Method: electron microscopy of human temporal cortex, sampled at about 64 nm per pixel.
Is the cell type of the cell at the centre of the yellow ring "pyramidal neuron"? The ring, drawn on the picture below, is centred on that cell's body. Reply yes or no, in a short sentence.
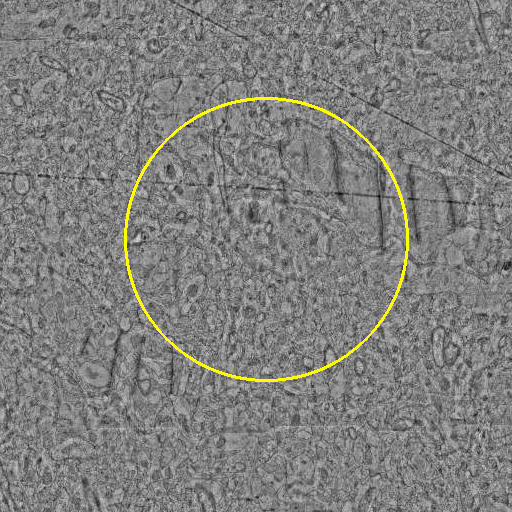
No, its cell type is another.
